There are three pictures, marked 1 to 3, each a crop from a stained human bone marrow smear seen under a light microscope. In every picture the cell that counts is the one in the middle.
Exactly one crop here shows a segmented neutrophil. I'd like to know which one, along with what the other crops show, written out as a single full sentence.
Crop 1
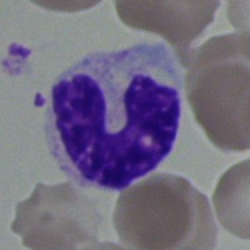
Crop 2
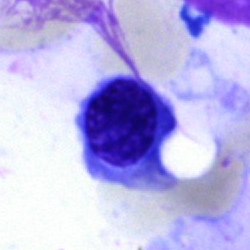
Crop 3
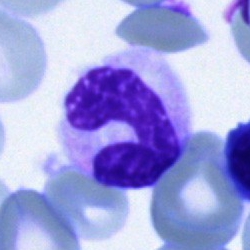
On inspection, crop 3 shows a segmented neutrophil, while crop 1 is a band neutrophil and crop 2 is an erythroblast.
